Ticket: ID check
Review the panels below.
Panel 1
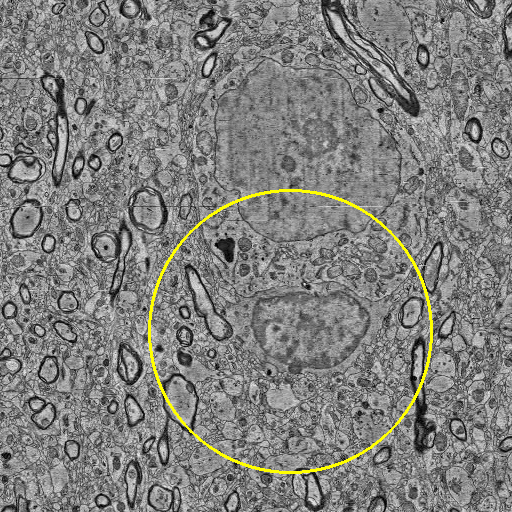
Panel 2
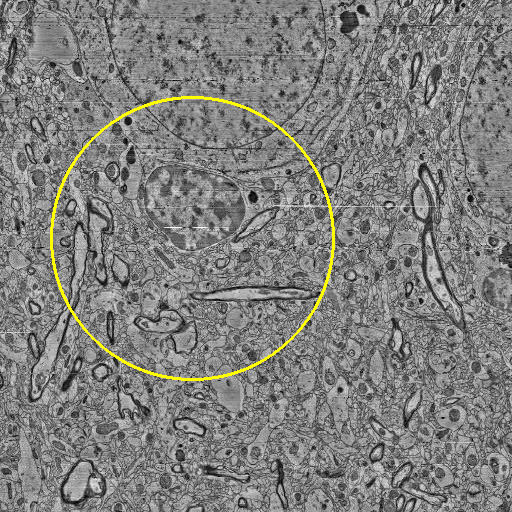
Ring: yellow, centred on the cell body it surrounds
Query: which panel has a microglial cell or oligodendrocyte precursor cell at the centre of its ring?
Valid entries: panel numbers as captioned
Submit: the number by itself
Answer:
2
